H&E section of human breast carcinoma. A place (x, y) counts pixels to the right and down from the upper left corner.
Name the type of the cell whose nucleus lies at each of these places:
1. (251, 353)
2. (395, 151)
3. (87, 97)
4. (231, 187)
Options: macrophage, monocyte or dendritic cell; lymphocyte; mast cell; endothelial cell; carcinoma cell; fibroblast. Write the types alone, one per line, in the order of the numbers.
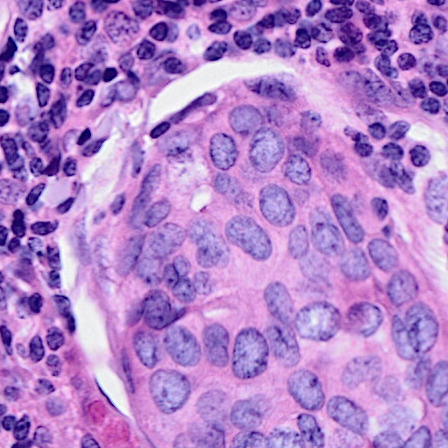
carcinoma cell
lymphocyte
lymphocyte
carcinoma cell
